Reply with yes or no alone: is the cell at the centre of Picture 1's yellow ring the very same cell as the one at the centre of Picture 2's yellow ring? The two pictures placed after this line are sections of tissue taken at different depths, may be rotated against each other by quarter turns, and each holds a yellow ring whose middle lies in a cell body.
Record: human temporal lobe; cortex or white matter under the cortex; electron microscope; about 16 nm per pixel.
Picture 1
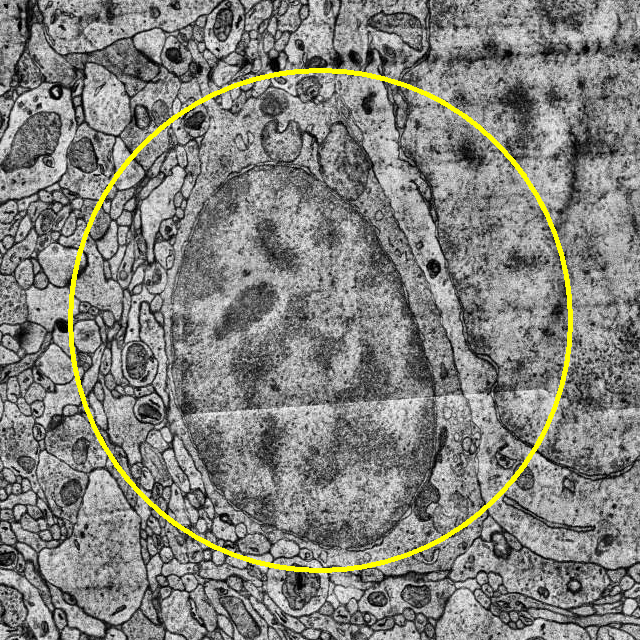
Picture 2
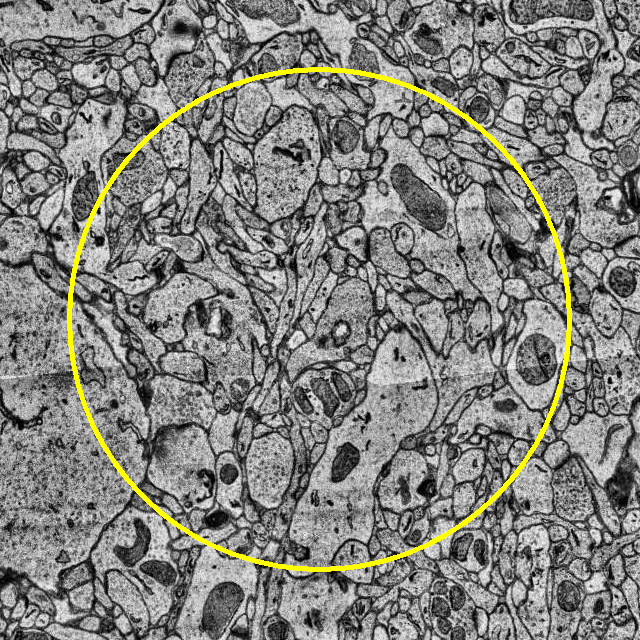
yes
